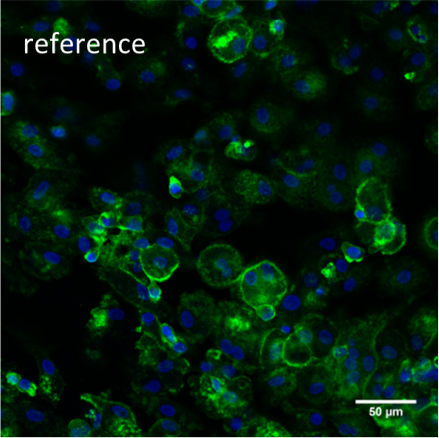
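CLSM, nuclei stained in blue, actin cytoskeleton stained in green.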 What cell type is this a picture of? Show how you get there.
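Osteoclasts. Several large rounded cells hold more than one blue nucleus. The large cells have a bright green ring at their edge. Smaller cells with single nuclei lie between them.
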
